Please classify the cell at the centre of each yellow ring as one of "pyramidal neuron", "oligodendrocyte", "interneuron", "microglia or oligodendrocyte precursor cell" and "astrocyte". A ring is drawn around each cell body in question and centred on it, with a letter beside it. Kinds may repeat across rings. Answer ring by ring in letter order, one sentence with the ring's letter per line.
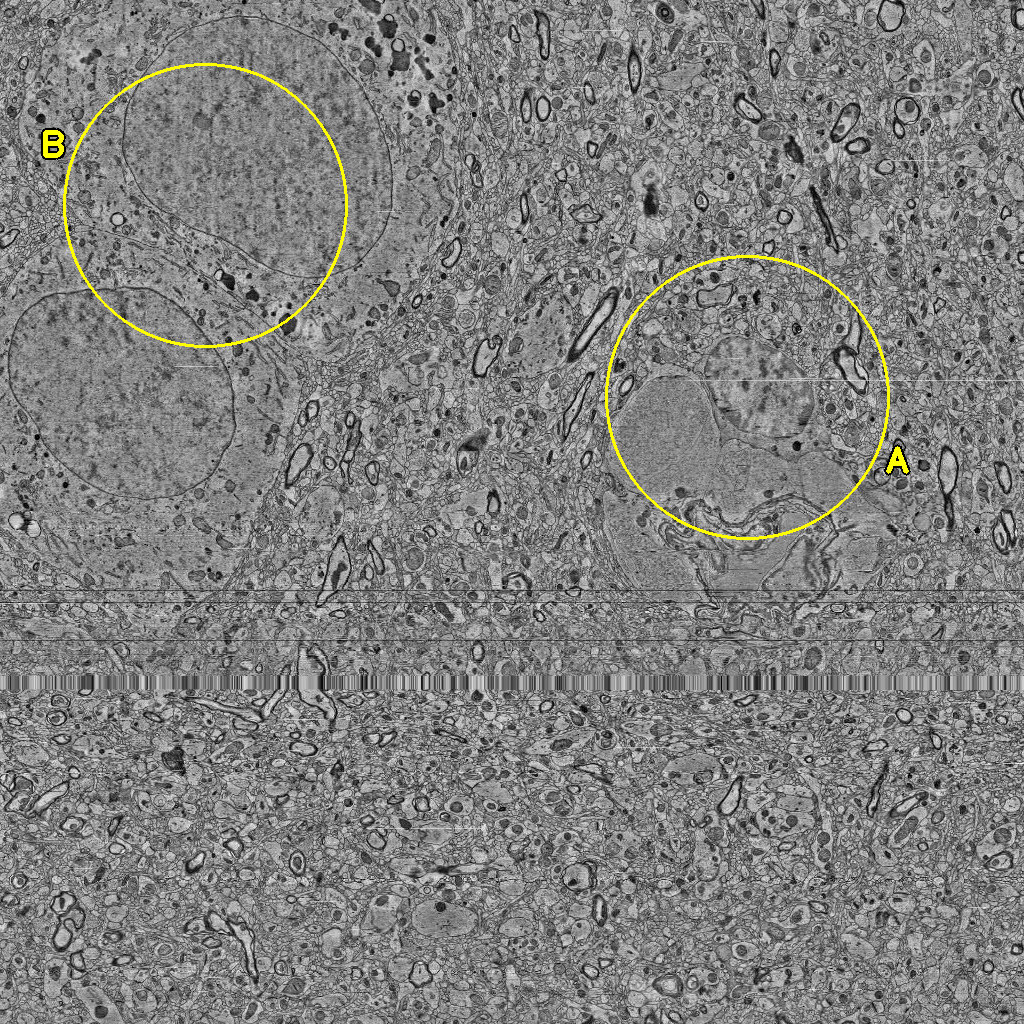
The cell at the heart of ring A is an oligodendrocyte.
The cell at the heart of ring B is a pyramidal neuron.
